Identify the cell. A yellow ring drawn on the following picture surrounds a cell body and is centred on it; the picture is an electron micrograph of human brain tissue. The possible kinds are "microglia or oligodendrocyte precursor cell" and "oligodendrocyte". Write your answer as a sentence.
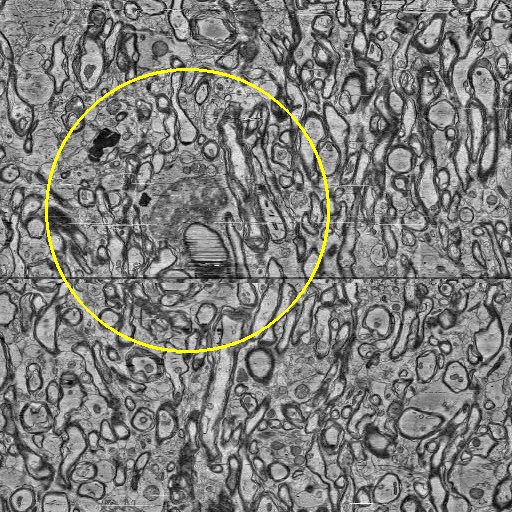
The cell identified by the ring is an oligodendrocyte.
